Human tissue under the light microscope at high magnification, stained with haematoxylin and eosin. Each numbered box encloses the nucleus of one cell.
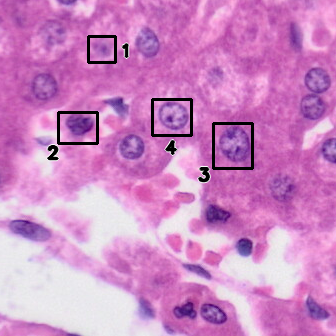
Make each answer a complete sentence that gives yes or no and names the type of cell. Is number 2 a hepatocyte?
No, the cell given number 2 is a Kupffer cell, not a hepatocyte.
